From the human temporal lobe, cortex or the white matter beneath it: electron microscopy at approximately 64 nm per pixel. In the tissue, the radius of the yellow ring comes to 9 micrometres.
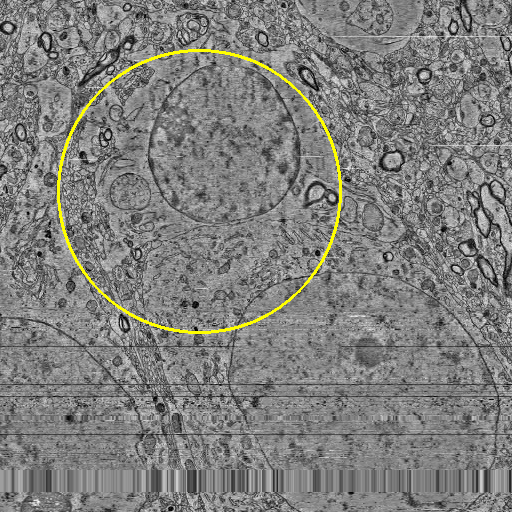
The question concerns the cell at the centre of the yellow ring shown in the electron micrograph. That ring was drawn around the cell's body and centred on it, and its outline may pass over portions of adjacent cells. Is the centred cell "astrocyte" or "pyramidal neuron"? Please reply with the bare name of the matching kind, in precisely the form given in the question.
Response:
astrocyte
